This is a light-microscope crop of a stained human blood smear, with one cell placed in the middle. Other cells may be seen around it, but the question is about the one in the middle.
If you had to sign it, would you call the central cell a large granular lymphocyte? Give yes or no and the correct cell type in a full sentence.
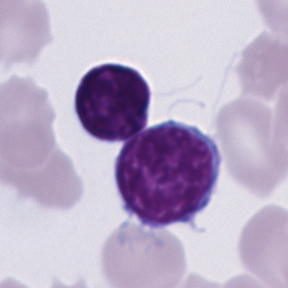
No, the central cell is not a large granular lymphocyte; it is a blast.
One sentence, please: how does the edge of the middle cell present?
In outline, the cell is irregular, ragged in stretches or drawn into projections.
